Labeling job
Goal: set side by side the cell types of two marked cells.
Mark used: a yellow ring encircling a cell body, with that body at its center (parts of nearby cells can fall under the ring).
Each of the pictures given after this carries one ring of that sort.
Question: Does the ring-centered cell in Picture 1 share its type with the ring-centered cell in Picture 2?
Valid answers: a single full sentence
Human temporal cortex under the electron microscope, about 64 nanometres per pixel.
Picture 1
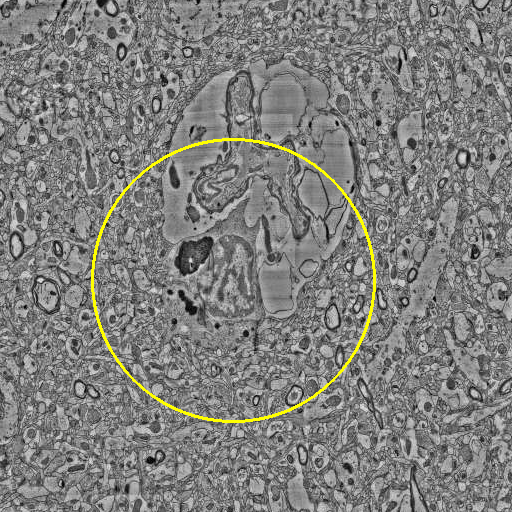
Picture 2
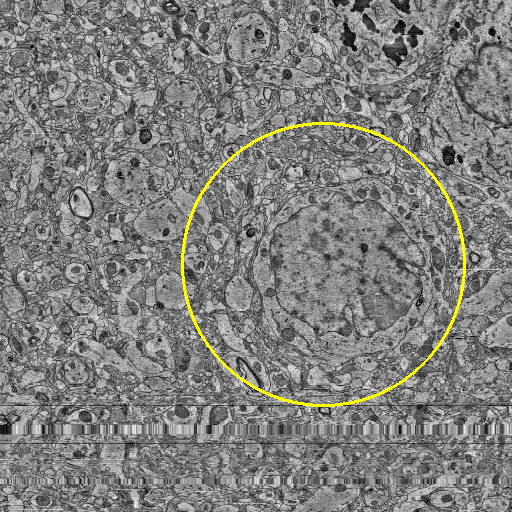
No, in Pictures 1 and 2 the cells at the ring centers have separate types.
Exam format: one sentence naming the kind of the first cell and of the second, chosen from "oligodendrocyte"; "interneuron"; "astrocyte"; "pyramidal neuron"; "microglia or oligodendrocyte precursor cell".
The first picture's cell is an oligodendrocyte, and the second picture's cell is an interneuron.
